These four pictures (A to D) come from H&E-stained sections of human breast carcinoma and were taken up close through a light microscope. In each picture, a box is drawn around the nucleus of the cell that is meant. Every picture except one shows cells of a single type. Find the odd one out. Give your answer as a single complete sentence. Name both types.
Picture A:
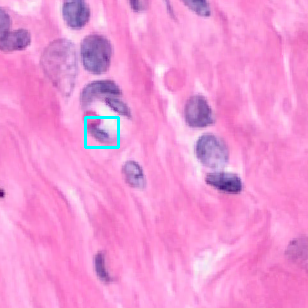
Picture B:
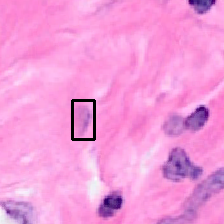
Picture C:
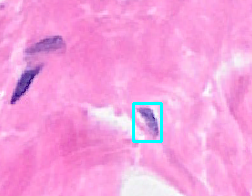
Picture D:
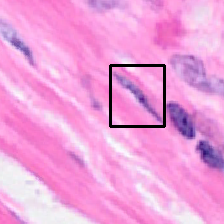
Unlike the rest, which show fibroblasts, picture A shows an endothelial cell.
